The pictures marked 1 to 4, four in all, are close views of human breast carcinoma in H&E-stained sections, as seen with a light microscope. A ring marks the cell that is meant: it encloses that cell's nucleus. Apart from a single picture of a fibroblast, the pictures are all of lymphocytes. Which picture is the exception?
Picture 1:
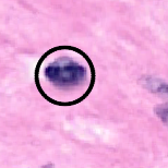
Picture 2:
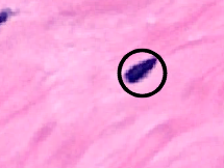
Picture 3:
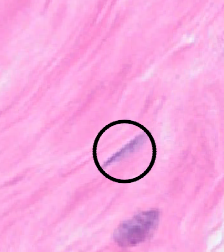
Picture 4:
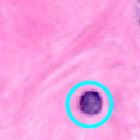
3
